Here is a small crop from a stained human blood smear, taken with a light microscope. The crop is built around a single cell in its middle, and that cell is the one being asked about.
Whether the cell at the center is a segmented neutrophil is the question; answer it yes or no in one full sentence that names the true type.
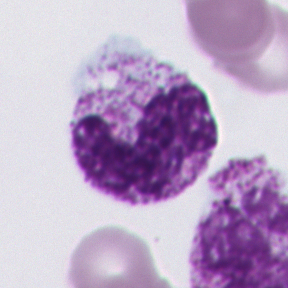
No, the central cell is designated a band neutrophil and not a segmented neutrophil.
